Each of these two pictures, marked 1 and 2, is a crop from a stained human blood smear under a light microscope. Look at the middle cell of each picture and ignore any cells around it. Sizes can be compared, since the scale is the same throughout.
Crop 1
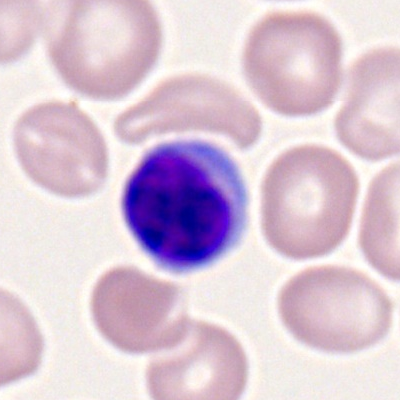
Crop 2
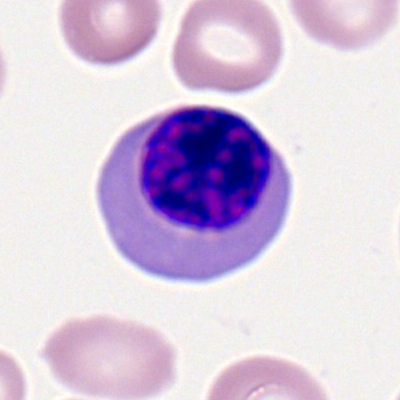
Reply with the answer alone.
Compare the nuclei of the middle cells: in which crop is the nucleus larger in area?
2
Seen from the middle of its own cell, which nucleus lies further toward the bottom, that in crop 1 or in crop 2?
1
